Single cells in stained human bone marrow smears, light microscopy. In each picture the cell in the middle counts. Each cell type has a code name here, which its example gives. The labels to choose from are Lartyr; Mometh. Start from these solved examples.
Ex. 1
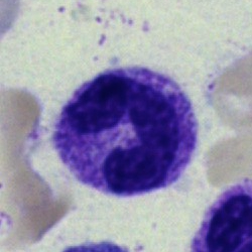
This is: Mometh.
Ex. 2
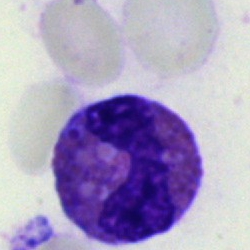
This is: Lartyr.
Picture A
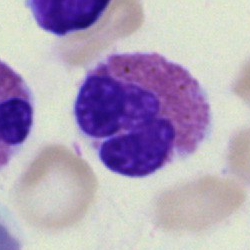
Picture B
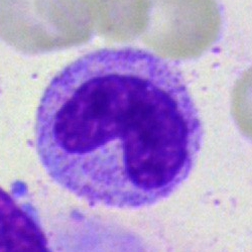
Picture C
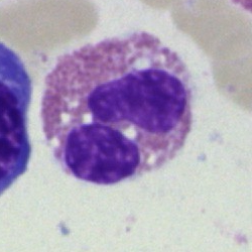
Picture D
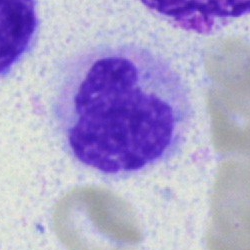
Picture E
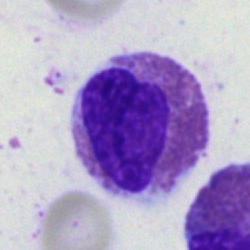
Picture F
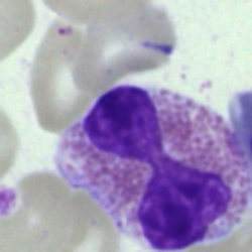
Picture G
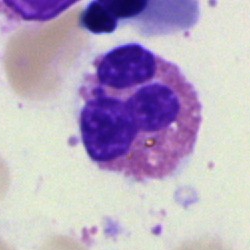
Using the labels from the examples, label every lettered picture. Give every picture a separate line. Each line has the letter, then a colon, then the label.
A: Lartyr.
B: Mometh.
C: Lartyr.
D: Mometh.
E: Lartyr.
F: Lartyr.
G: Lartyr.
